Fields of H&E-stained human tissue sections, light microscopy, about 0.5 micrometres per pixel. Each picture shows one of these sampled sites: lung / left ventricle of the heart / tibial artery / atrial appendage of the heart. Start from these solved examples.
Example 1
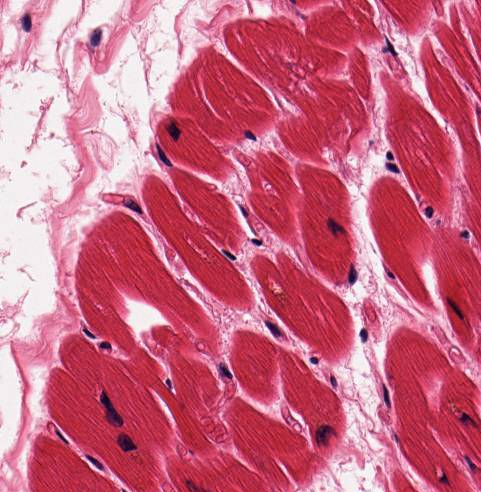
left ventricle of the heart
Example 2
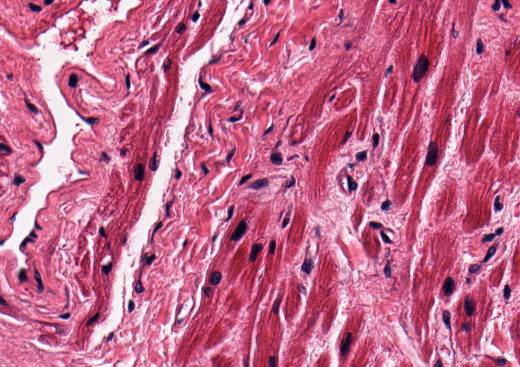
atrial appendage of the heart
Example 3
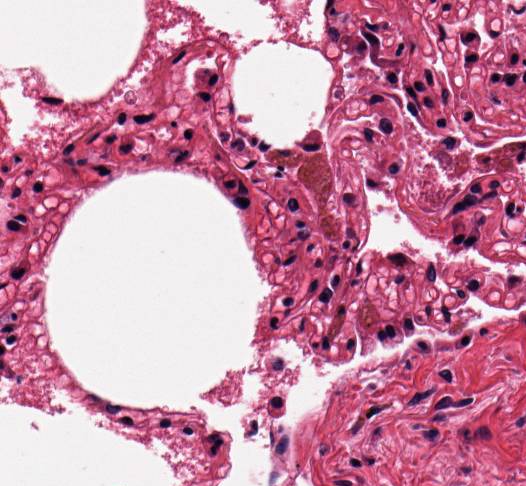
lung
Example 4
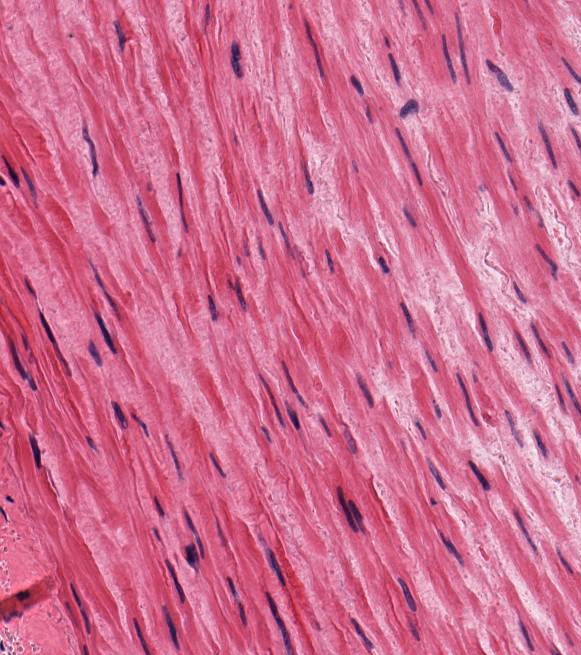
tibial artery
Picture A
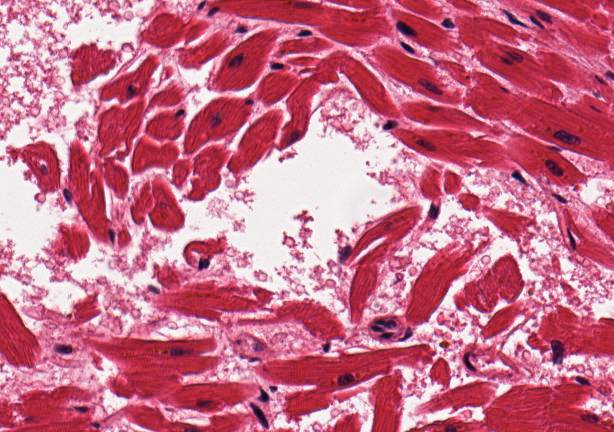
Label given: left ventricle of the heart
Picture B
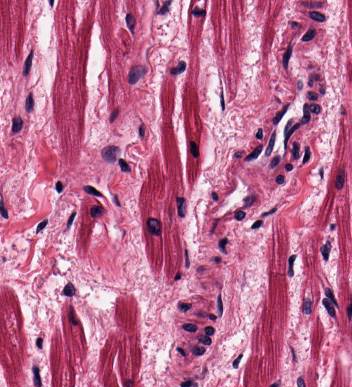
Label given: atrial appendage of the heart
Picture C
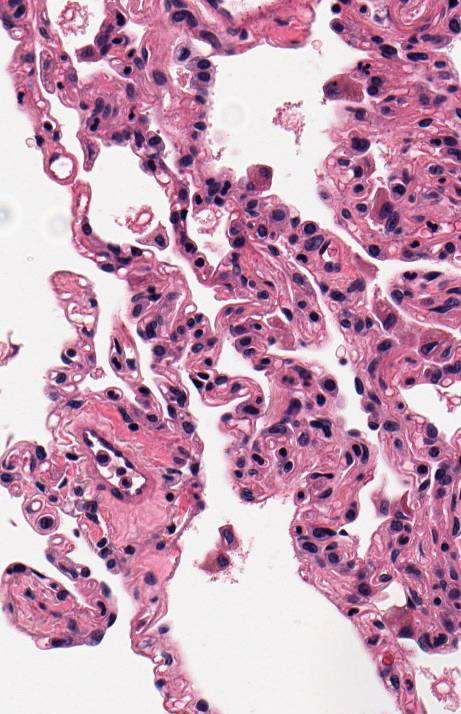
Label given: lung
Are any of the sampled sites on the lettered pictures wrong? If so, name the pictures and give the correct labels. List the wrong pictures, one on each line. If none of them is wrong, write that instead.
None of the labels needs changing.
